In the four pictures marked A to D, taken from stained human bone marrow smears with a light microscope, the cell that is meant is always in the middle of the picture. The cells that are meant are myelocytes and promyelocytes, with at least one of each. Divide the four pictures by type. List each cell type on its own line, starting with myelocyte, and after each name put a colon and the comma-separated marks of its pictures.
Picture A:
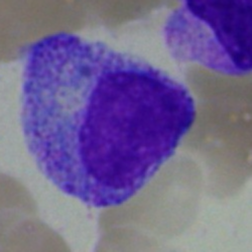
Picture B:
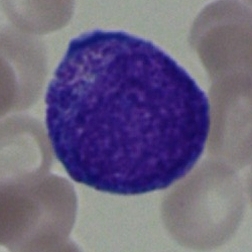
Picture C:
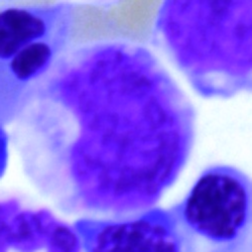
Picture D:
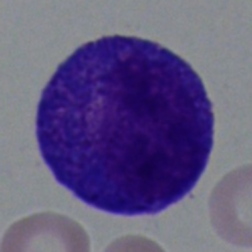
myelocyte: A
promyelocyte: B, C, D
